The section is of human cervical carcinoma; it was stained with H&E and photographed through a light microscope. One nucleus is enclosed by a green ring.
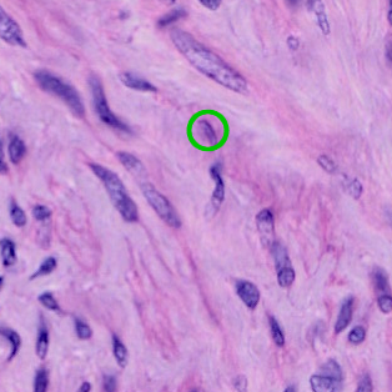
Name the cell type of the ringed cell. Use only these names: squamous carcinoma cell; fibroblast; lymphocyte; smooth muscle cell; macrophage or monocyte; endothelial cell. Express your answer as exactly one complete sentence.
It is as a smooth muscle cell that the ringed cell is recorded.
